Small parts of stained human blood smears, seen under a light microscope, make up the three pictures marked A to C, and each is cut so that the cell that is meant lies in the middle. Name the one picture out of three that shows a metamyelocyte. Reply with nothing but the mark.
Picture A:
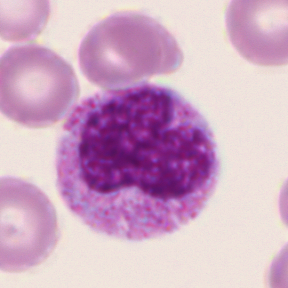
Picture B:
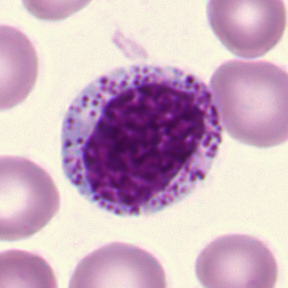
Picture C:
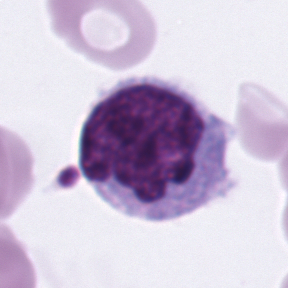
B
